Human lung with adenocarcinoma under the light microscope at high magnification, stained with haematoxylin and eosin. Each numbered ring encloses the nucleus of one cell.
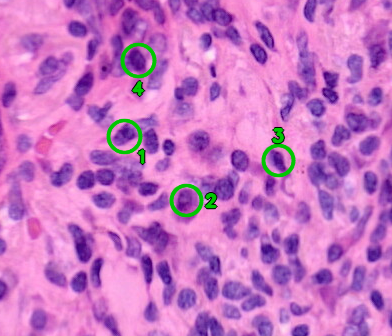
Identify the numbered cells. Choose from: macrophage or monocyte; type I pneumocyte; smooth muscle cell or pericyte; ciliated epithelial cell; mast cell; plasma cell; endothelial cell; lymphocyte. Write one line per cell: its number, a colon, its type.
1: lymphocyte
2: plasma cell
3: plasma cell
4: plasma cell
